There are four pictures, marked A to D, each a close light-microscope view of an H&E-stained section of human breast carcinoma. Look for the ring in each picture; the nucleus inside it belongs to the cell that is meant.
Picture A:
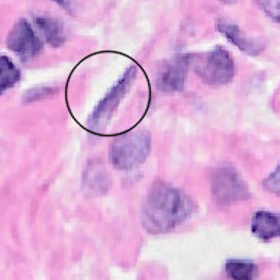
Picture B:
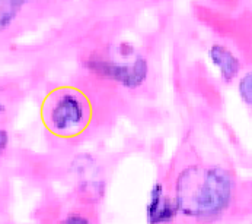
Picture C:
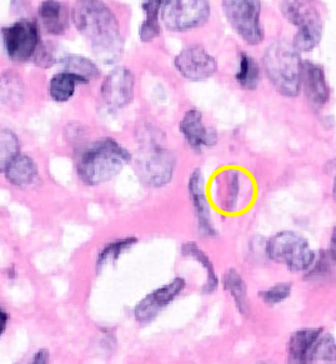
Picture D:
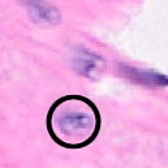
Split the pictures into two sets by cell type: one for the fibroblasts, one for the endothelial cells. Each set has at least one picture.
A: fibroblast
B: endothelial cell
C: endothelial cell
D: endothelial cell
